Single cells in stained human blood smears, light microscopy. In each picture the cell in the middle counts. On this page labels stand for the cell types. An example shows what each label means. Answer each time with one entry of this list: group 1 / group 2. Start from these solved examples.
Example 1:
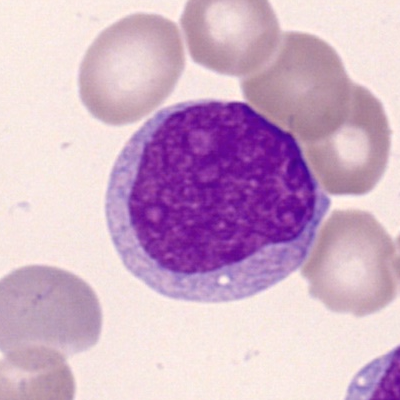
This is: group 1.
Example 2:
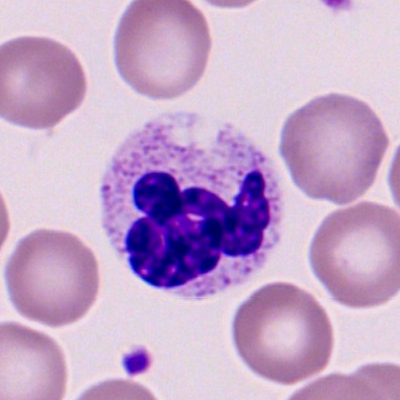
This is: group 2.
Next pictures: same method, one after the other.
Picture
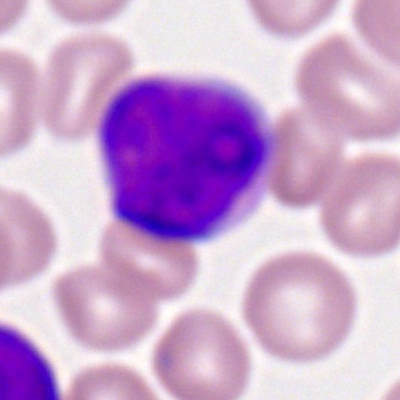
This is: group 1.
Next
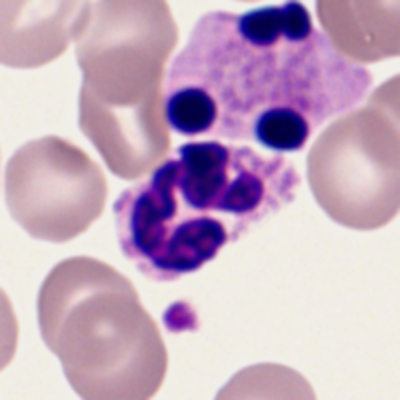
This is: group 2.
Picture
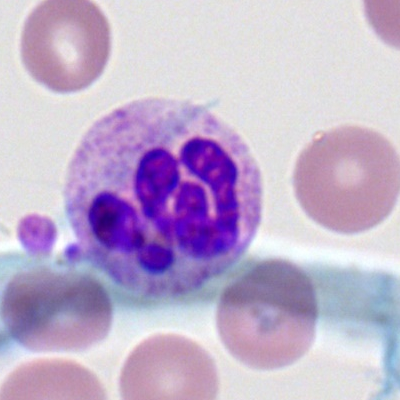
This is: group 2.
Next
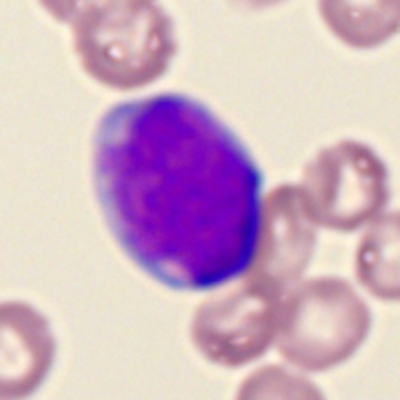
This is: group 1.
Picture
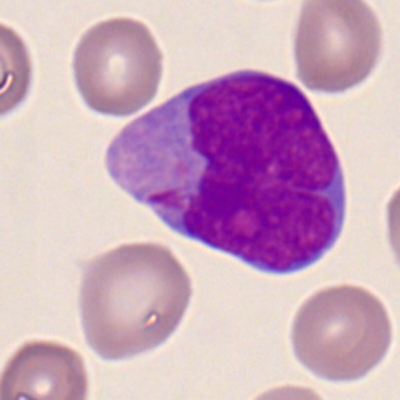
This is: group 1.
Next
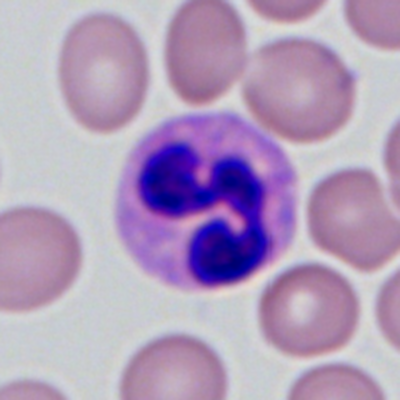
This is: group 2.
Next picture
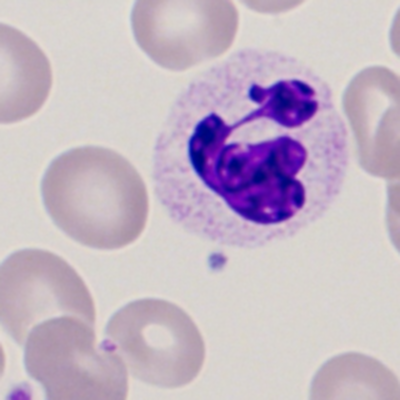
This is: group 2.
